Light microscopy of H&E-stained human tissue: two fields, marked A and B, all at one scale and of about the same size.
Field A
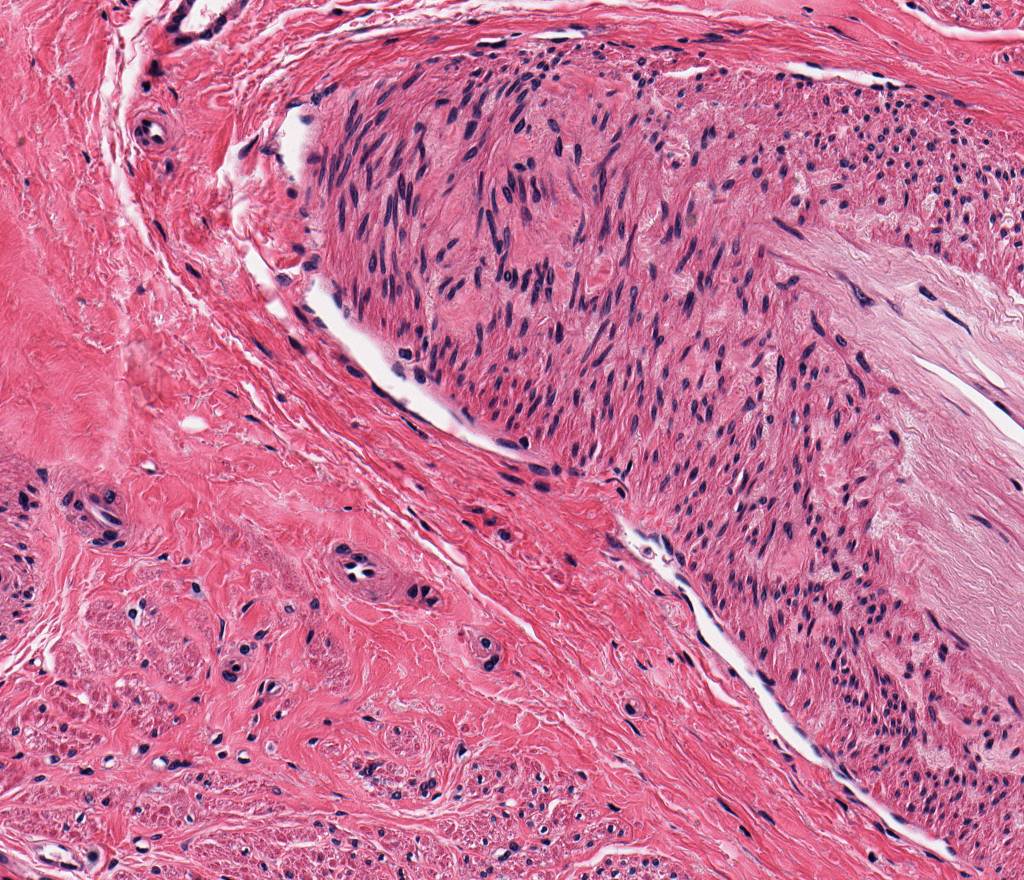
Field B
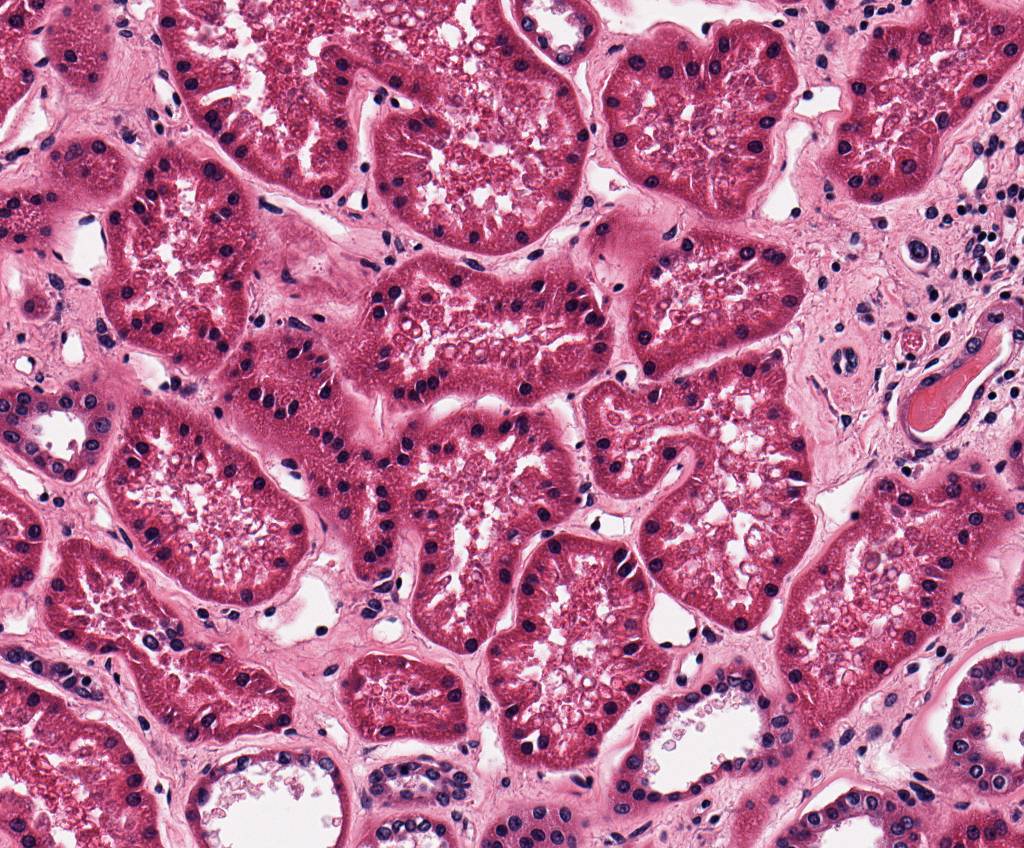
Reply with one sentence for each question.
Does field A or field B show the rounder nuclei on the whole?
Rounder nuclei lie in field B.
